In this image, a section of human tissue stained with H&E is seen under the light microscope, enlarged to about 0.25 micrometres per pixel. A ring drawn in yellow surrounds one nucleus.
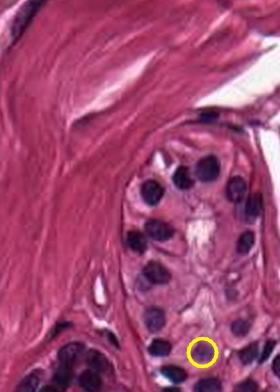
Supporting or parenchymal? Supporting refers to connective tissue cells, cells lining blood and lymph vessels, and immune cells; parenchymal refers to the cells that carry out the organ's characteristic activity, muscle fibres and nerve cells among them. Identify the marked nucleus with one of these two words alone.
parenchymal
